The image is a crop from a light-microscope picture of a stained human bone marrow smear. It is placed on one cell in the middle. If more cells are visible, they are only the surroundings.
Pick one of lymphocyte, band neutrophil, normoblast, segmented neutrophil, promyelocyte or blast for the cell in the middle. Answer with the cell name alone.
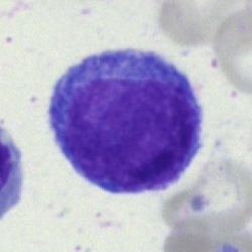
blast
